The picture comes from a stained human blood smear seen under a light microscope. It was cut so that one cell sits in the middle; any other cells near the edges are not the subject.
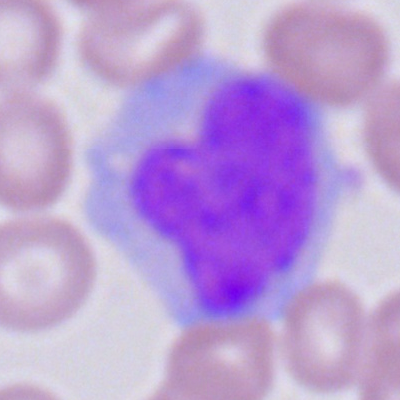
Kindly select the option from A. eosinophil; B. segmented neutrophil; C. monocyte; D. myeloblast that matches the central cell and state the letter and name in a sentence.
That the central cell is a monocyte makes option C correct.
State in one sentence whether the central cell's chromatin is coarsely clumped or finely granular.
Heads up, the chromatin is fine with no coarse clumps in it.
